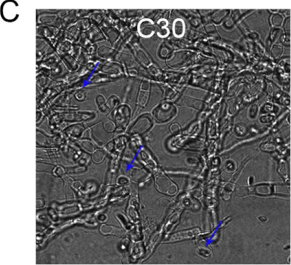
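This is a dense tangle of fungal hyphae seen without stain. The filaments are septate and branching, with some segments swollen into chains of short, rounded compartments. Small, short rounded bodies, the spores, lie scattered among and along the hyphae.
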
